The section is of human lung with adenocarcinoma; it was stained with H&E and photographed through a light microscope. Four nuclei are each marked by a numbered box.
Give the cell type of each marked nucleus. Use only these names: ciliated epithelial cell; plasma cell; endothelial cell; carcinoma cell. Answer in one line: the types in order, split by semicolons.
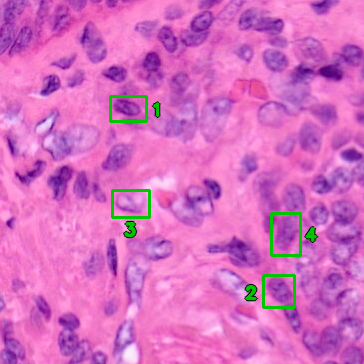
plasma cell; ciliated epithelial cell; endothelial cell; ciliated epithelial cell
